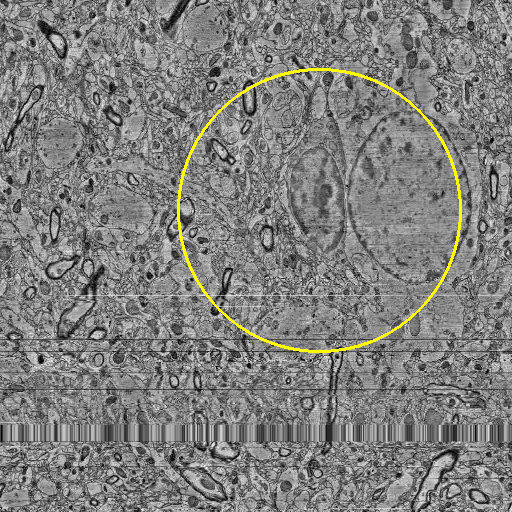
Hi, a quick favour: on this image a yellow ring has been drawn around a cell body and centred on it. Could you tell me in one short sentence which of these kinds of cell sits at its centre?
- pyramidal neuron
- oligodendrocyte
The ring is centred on an oligodendrocyte.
